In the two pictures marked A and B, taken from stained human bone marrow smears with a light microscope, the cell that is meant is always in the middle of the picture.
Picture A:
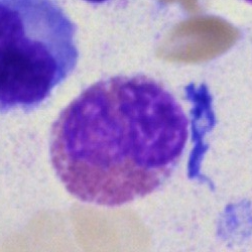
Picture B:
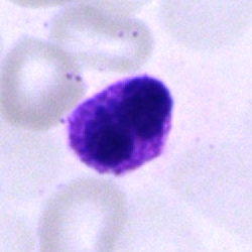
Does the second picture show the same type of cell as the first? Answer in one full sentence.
Yes, the two pictures both show basophils.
